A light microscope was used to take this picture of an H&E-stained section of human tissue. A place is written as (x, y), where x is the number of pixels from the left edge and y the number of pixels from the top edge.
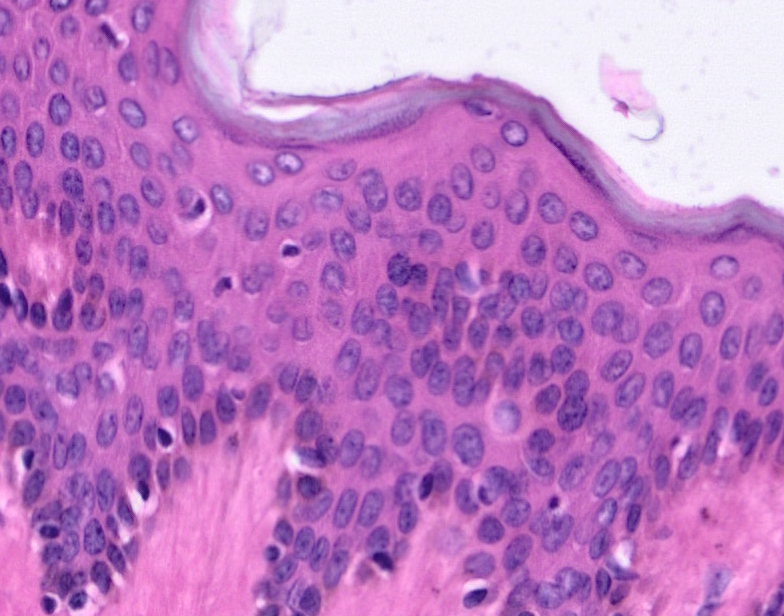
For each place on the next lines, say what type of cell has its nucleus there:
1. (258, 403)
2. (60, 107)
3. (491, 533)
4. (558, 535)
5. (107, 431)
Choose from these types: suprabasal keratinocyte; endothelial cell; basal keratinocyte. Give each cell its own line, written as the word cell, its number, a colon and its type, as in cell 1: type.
cell 1: basal keratinocyte
cell 2: suprabasal keratinocyte
cell 3: basal keratinocyte
cell 4: suprabasal keratinocyte
cell 5: suprabasal keratinocyte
